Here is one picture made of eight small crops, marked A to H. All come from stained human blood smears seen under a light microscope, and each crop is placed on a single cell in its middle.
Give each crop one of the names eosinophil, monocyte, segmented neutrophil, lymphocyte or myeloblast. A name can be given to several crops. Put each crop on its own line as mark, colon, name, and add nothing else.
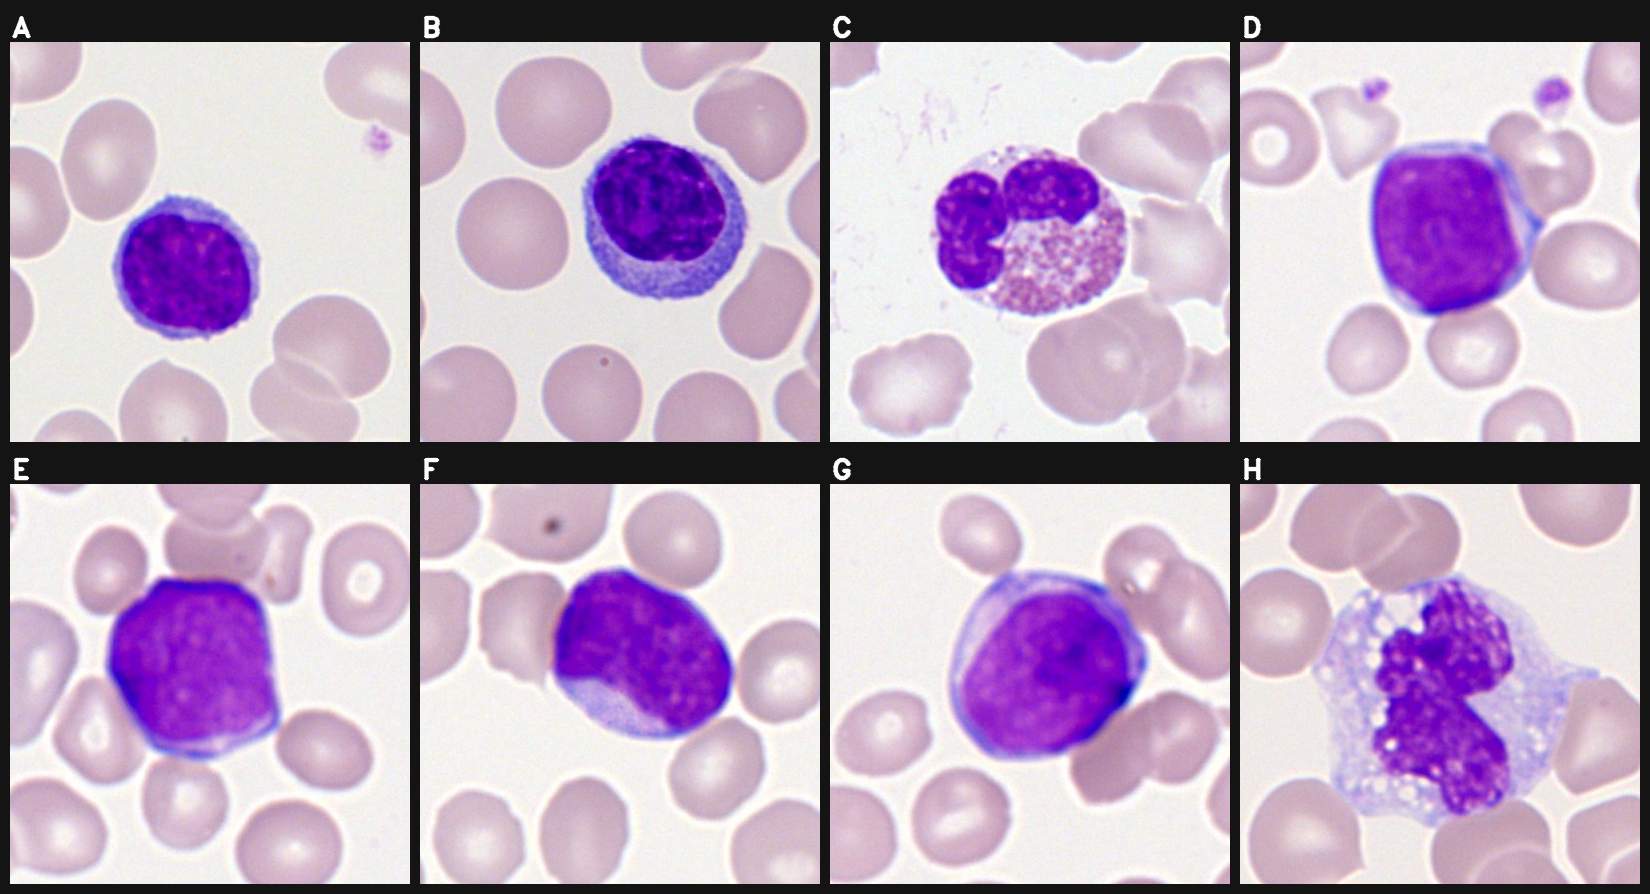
A: lymphocyte
B: lymphocyte
C: eosinophil
D: myeloblast
E: myeloblast
F: myeloblast
G: myeloblast
H: monocyte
